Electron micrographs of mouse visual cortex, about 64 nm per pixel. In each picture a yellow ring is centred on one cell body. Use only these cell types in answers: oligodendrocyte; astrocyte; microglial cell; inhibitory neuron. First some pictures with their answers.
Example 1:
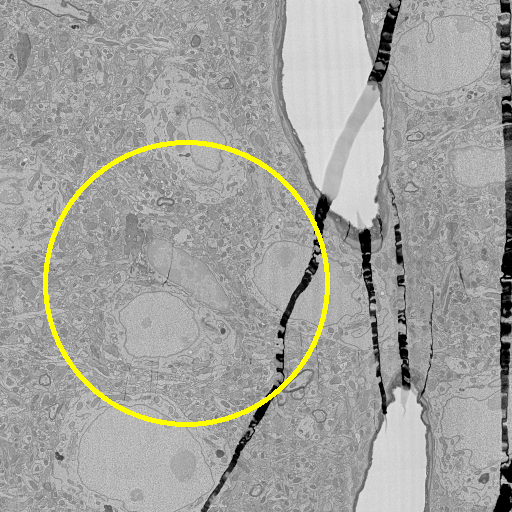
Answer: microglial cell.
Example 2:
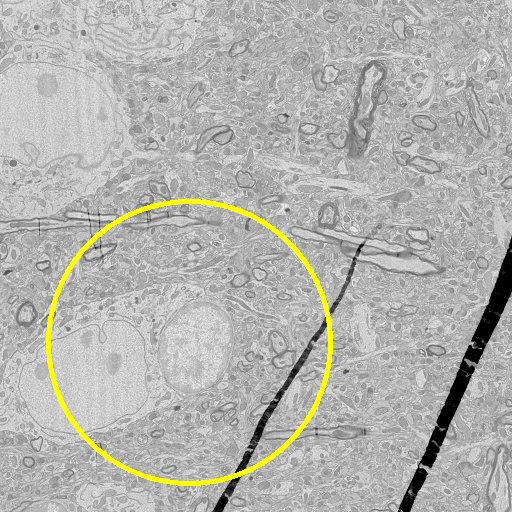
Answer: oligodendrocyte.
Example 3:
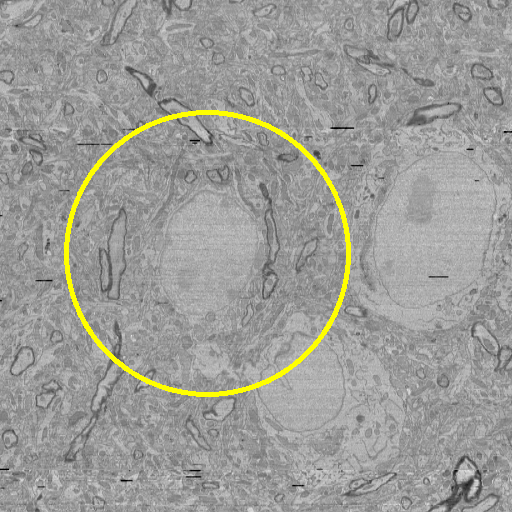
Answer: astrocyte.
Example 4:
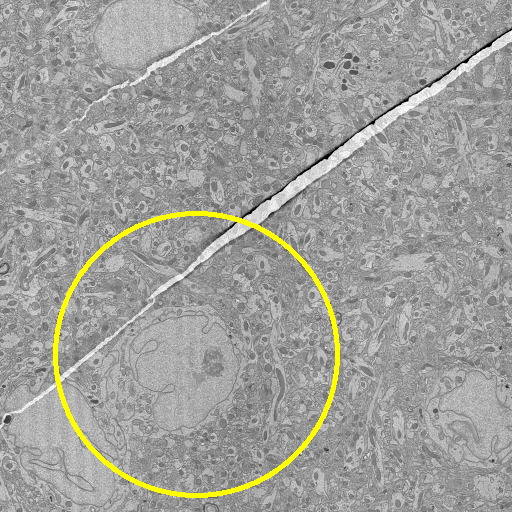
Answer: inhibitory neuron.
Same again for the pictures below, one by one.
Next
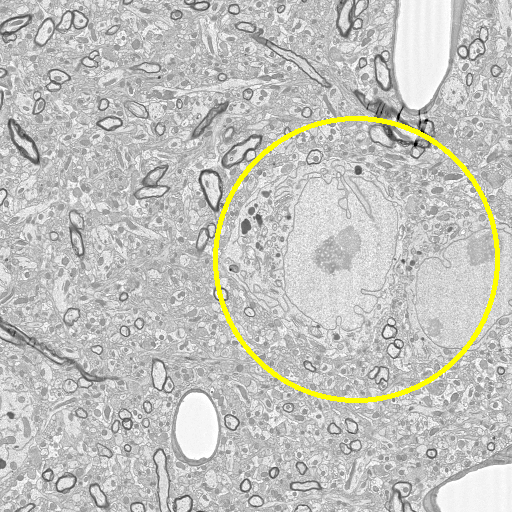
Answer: inhibitory neuron.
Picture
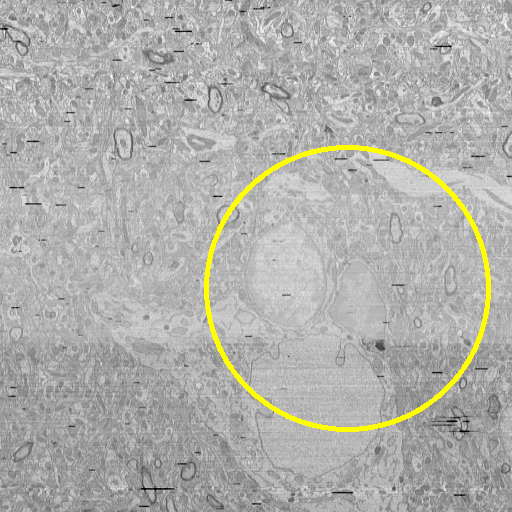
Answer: microglial cell.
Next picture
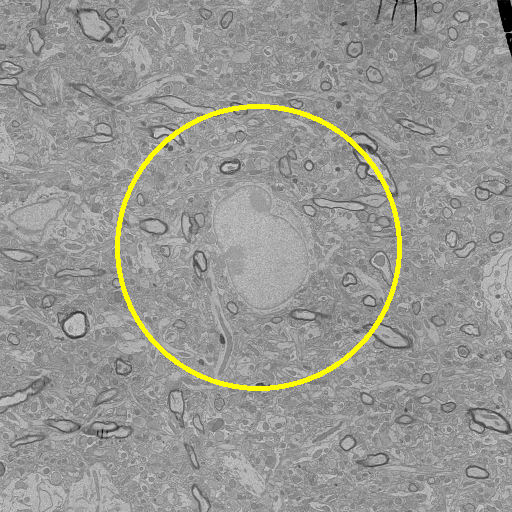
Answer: astrocyte.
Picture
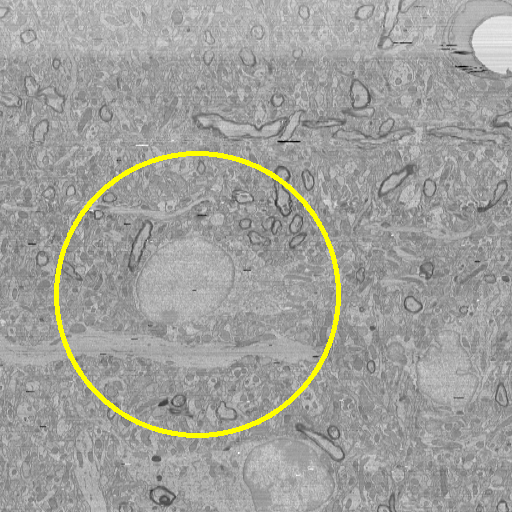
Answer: astrocyte.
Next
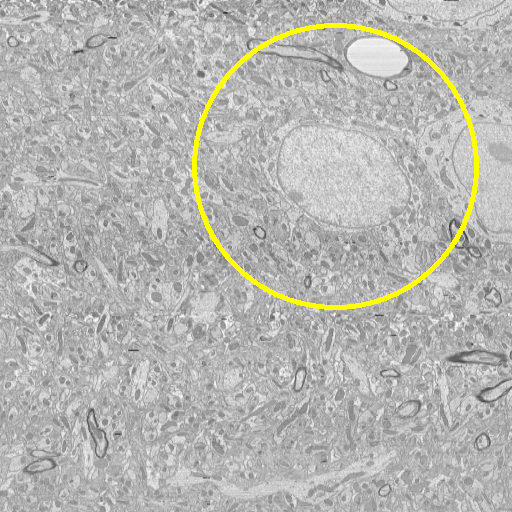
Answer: astrocyte.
